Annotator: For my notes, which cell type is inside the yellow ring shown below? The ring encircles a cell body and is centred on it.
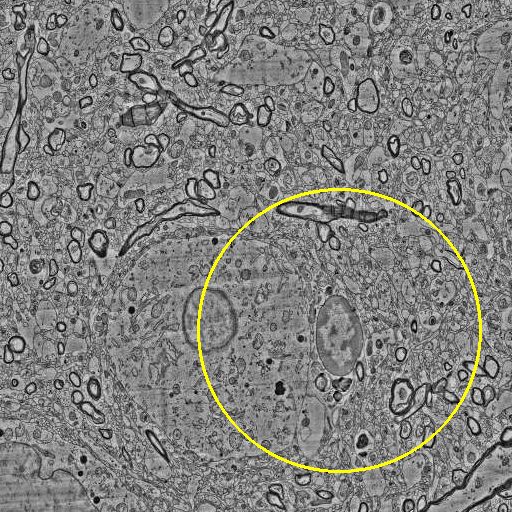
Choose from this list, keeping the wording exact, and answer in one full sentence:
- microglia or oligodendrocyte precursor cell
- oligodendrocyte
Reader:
At the centre of the yellow ring there is a microglial cell or oligodendrocyte precursor cell, as shown in the picture.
